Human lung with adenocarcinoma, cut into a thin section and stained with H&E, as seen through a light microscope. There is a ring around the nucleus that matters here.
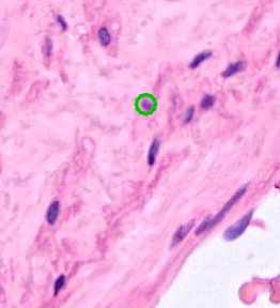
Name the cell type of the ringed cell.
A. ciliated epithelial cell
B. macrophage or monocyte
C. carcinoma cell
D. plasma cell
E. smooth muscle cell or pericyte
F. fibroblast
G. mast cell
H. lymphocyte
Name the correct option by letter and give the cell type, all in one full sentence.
In this section the ringed cell is a smooth muscle cell or pericyte; option E is therefore correct.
